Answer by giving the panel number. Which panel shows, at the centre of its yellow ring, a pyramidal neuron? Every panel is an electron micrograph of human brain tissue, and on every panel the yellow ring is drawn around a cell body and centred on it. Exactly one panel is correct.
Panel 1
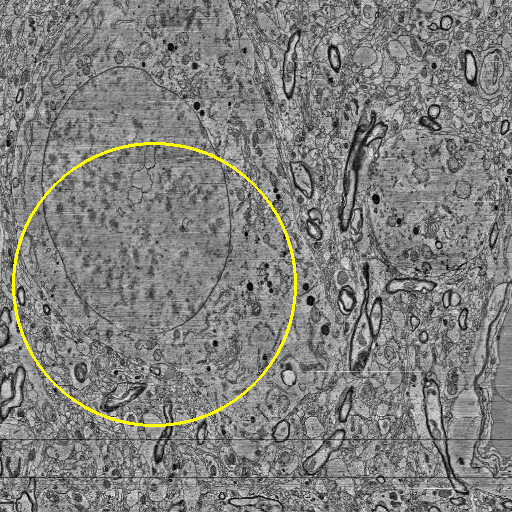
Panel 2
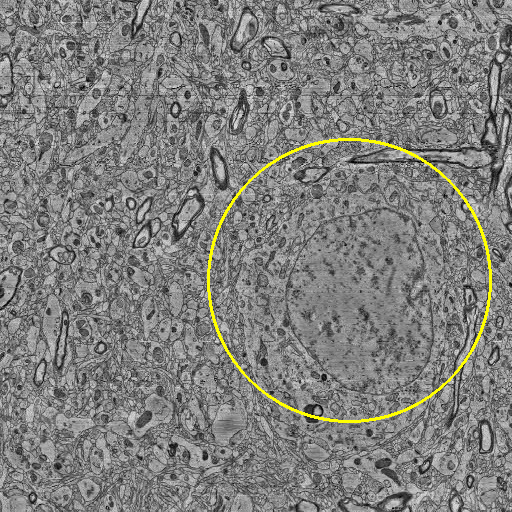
1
